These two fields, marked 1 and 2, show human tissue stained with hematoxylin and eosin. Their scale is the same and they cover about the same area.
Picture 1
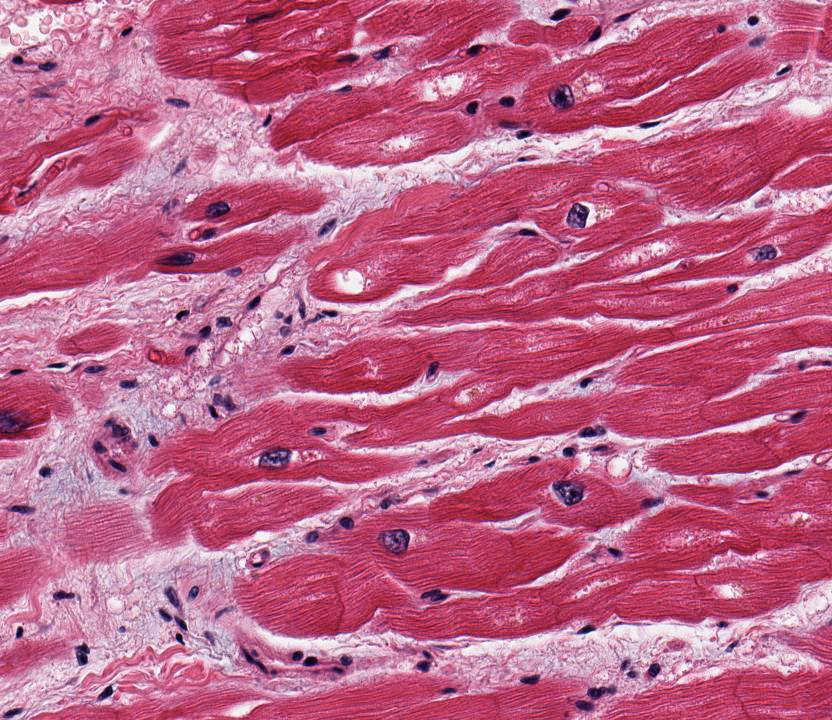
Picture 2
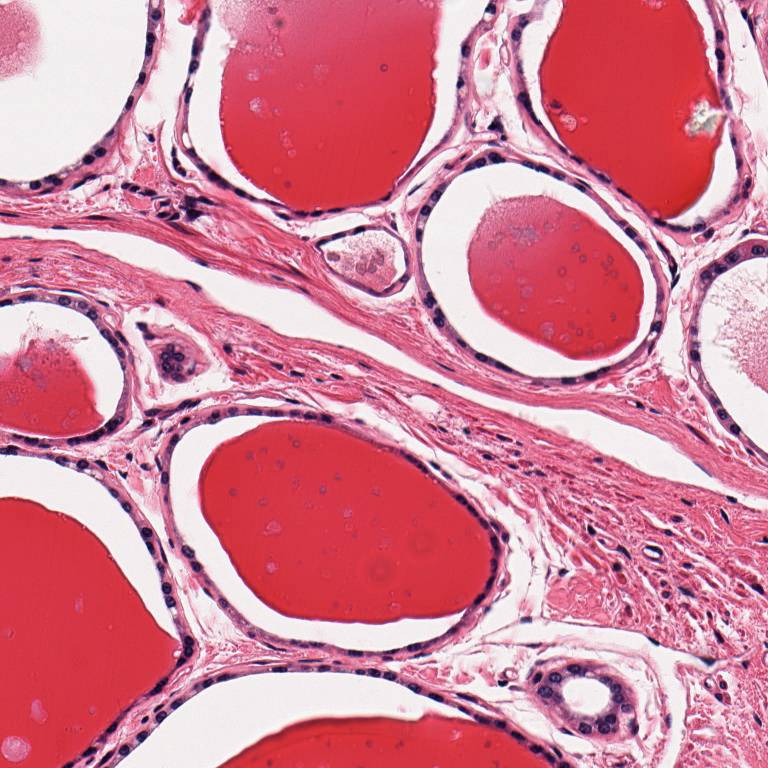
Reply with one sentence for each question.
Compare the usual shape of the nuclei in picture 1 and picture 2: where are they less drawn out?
On the whole the nuclei of picture 1 are rounder than those of picture 2.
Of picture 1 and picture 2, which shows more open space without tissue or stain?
More of picture 2 is empty and white.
